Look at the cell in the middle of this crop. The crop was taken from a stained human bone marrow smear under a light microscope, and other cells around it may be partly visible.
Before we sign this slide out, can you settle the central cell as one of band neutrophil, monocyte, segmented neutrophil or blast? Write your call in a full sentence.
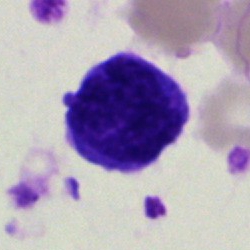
The crop shows a blast in its centre.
